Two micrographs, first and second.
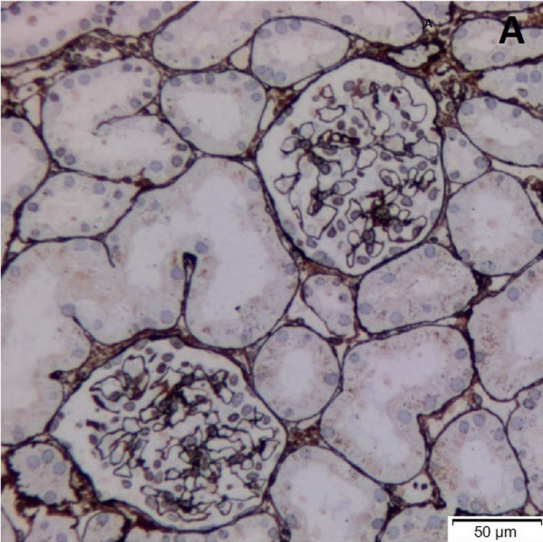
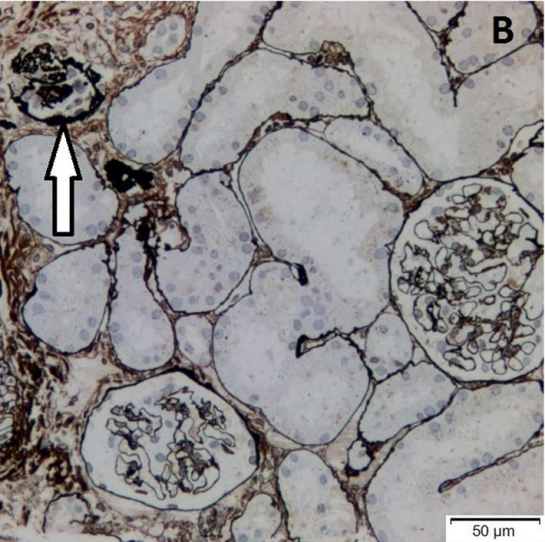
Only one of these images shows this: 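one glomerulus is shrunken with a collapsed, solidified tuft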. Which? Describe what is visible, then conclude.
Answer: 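Second image: a small glomerulus at upper left has a dense, dark, collapsed tuft. First image: both glomeruli show open, delicate capillary loops. So: the second image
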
